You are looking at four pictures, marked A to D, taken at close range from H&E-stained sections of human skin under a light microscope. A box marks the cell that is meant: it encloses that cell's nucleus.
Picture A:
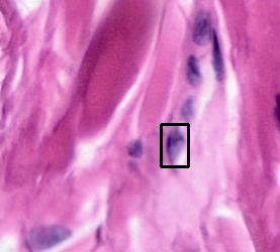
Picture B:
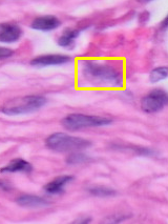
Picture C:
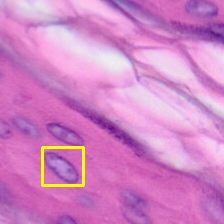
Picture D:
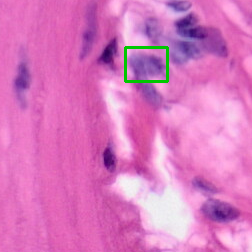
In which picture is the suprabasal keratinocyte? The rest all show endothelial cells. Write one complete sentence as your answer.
Picture C is the one that shows the suprabasal keratinocyte.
